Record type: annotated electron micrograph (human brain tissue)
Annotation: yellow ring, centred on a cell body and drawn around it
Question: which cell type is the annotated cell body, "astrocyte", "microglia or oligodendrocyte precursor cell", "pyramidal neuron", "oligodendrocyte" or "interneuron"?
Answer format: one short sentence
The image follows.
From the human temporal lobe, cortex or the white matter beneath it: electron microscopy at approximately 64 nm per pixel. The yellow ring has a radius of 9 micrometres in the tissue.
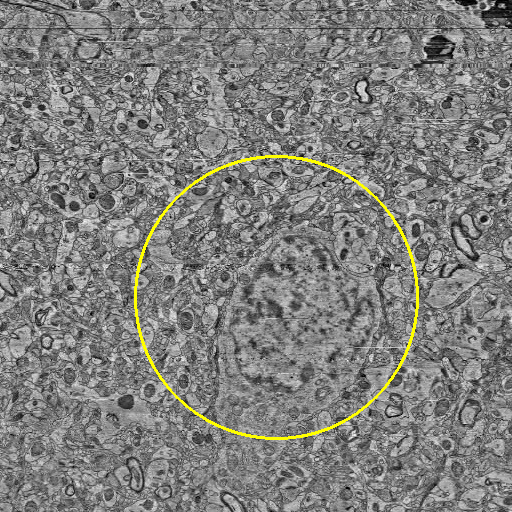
The annotated cell body is that of an interneuron.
